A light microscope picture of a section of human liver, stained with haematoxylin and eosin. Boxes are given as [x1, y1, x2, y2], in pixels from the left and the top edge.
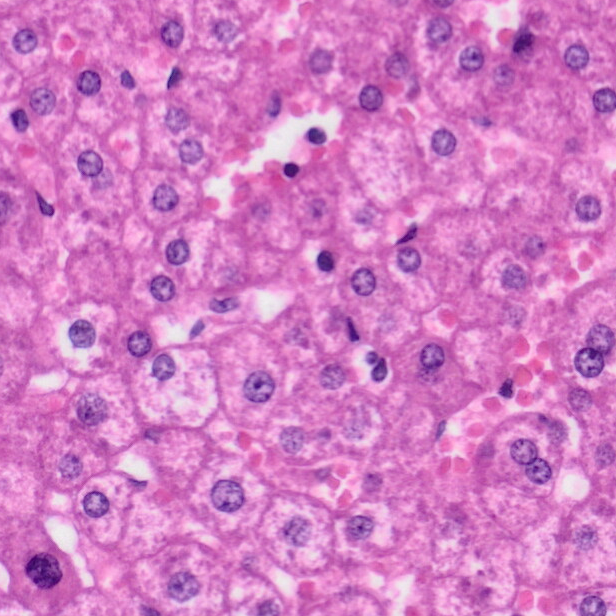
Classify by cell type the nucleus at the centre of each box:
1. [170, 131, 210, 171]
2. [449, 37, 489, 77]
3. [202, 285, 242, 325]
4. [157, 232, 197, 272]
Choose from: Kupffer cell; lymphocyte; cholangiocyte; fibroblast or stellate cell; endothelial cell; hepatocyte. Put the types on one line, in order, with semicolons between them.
hepatocyte; hepatocyte; Kupffer cell; hepatocyte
